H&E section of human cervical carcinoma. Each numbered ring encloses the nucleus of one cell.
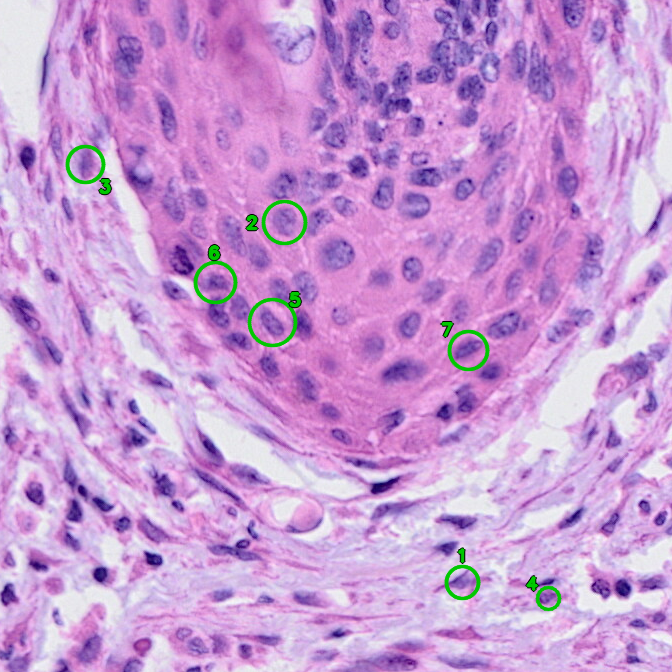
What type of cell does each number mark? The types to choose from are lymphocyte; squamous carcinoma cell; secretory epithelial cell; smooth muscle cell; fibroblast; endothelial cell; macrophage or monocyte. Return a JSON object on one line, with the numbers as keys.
{"1": "fibroblast", "2": "squamous carcinoma cell", "3": "fibroblast", "4": "fibroblast", "5": "squamous carcinoma cell", "6": "squamous carcinoma cell", "7": "squamous carcinoma cell"}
